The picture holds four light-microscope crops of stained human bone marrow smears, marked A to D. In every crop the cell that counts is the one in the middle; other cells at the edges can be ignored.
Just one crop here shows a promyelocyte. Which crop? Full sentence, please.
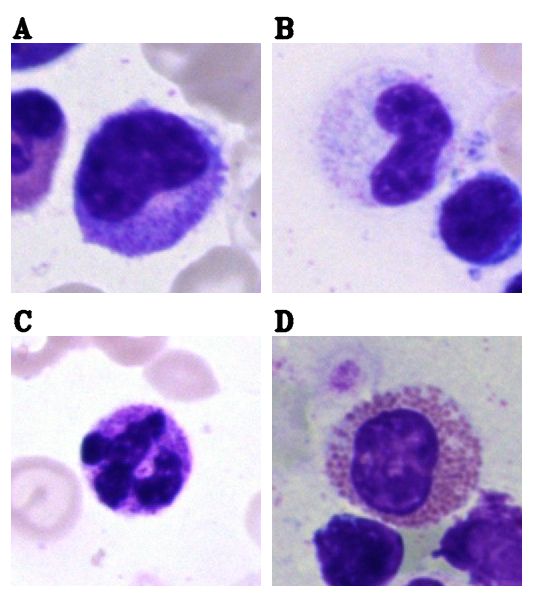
Crop A, and no other, shows a promyelocyte.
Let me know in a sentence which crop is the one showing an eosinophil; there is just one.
Crop D is the one depicting an eosinophil.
